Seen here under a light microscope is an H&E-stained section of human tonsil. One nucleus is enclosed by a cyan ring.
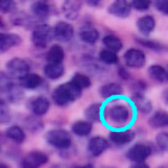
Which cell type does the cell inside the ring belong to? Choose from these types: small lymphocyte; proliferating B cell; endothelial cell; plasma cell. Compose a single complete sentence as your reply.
Placed in its cell category, the cell inside the ring is a small lymphocyte.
